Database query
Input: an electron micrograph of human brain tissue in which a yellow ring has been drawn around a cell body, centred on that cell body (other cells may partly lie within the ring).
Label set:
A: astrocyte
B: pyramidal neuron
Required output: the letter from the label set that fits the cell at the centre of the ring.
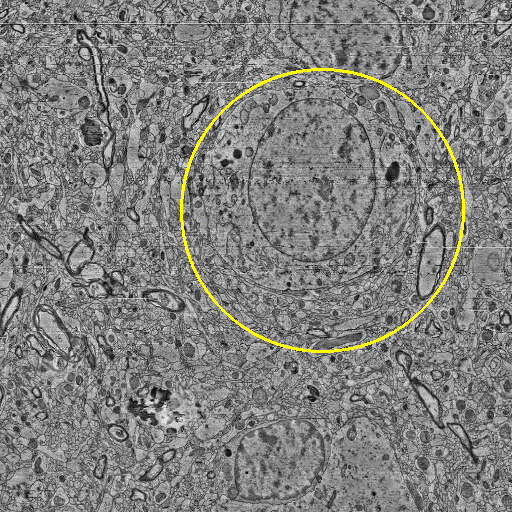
B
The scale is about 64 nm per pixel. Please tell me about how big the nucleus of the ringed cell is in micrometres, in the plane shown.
In this plane the nucleus spans approximately 11 by 8 micrometers.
